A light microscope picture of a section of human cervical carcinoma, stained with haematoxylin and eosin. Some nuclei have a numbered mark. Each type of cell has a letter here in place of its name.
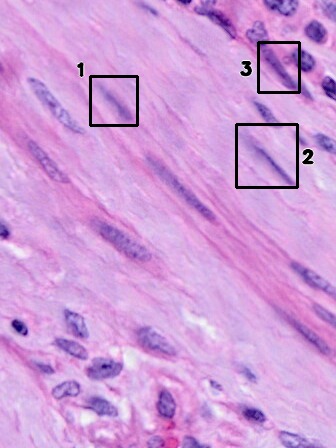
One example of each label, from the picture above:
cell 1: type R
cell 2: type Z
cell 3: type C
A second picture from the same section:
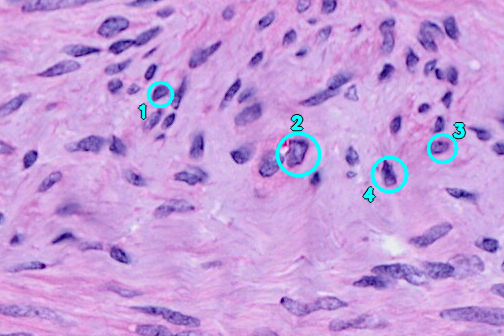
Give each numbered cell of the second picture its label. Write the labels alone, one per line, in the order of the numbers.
type R
type C
type R
type Z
